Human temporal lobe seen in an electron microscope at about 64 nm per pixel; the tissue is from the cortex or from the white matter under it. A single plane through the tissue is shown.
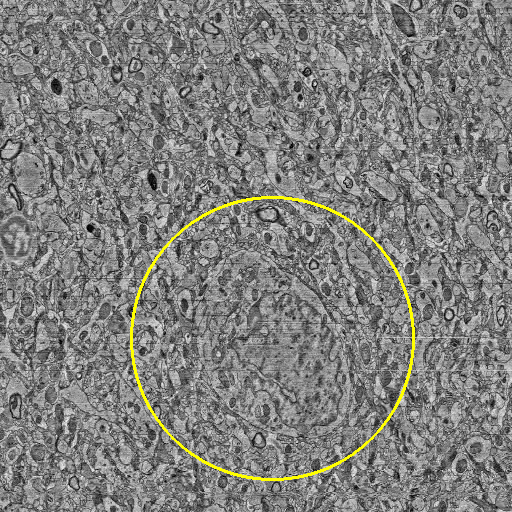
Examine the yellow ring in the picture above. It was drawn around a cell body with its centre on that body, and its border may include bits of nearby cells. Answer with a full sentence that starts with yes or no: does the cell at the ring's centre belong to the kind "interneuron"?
Yes, the cell at the heart of the ring shown in the image is of that kind.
